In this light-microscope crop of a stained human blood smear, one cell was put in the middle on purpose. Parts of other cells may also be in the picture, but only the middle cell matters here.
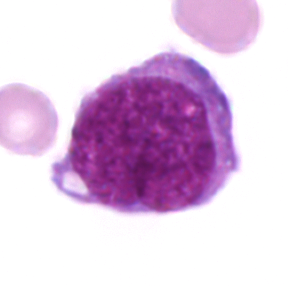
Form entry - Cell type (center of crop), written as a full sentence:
The cell occupying the middle of the crop is an atypical promyelocyte.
